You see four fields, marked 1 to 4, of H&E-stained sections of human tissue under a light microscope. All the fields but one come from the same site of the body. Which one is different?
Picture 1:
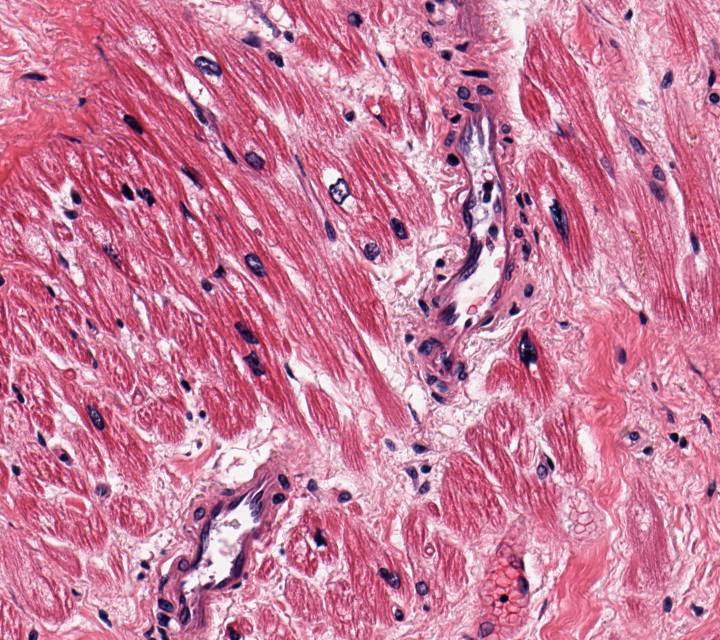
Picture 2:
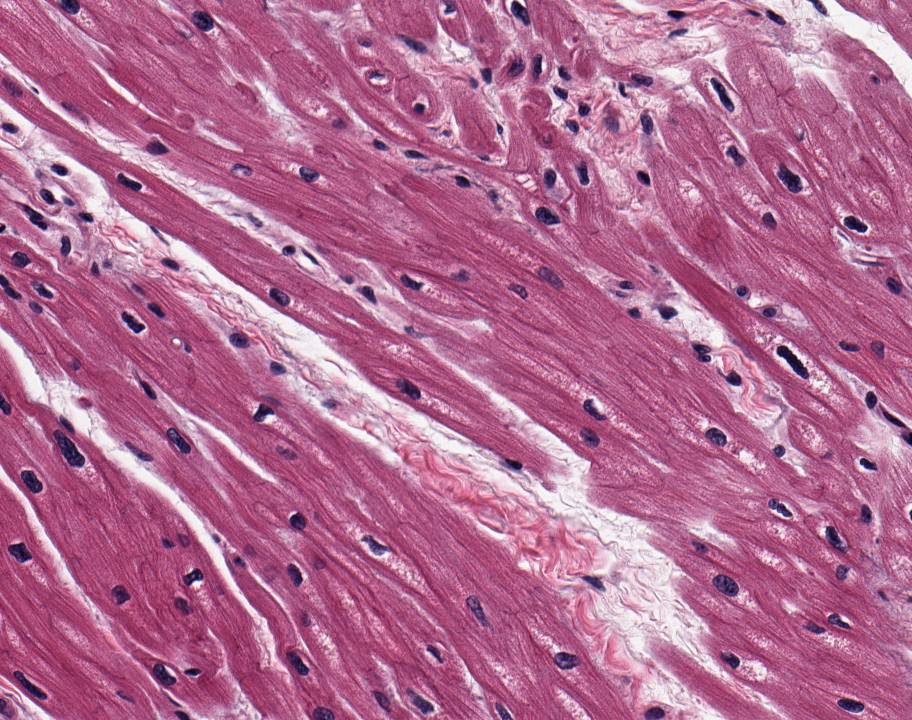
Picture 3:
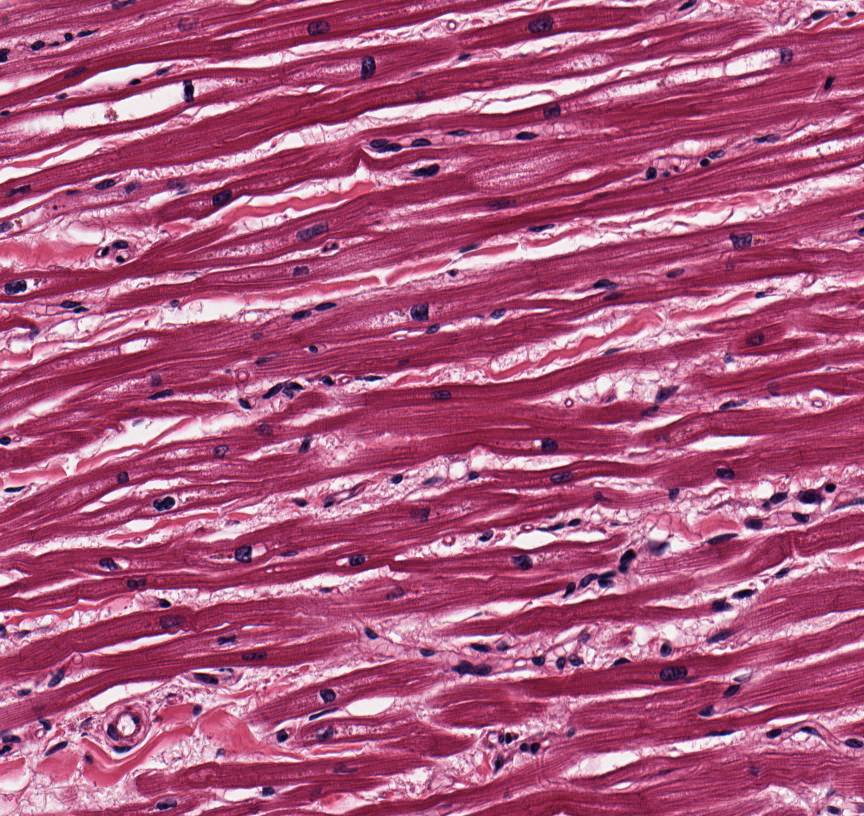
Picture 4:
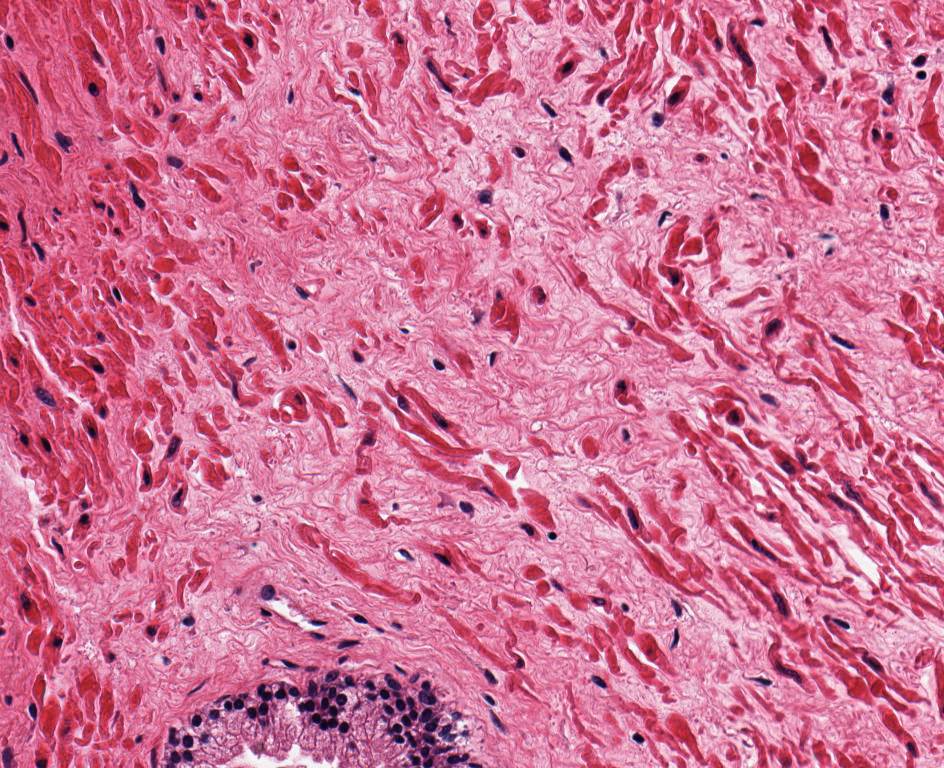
4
